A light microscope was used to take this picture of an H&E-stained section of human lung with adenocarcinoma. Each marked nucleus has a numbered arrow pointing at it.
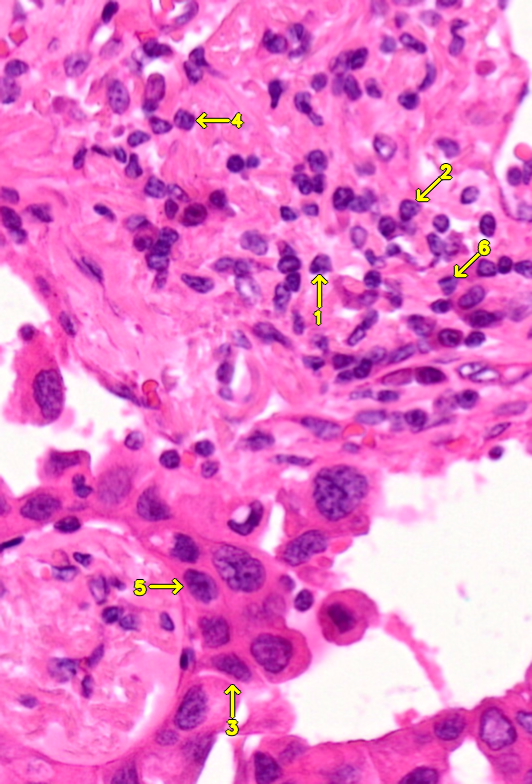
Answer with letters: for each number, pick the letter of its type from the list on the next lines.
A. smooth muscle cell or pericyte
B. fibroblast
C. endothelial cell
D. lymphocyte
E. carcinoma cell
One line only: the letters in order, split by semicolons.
D; D; E; D; E; D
